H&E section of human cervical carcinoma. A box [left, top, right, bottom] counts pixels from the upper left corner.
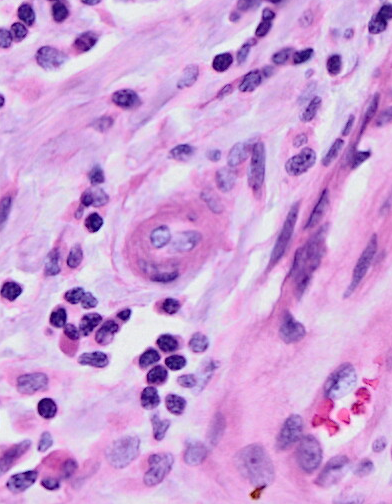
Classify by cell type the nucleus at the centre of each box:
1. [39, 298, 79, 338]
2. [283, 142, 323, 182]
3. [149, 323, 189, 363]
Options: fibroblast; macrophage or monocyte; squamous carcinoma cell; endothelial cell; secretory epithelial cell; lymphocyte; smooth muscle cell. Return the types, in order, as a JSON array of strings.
["lymphocyte", "macrophage or monocyte", "lymphocyte"]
